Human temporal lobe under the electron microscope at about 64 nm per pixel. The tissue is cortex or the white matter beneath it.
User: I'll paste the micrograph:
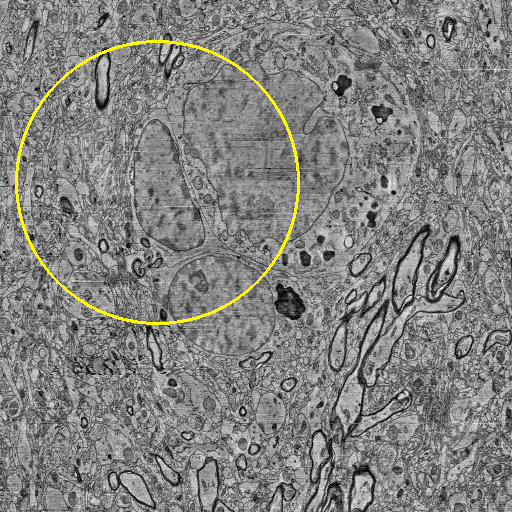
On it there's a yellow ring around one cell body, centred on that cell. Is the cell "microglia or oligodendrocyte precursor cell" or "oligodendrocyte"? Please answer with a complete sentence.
The cell ringed in yellow is a microglial cell or oligodendrocyte precursor cell.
